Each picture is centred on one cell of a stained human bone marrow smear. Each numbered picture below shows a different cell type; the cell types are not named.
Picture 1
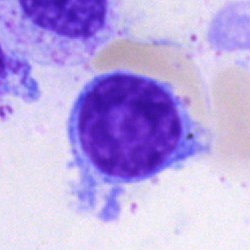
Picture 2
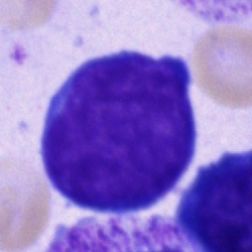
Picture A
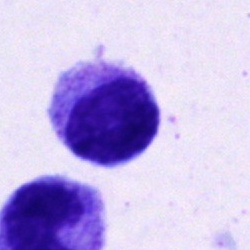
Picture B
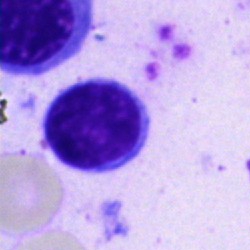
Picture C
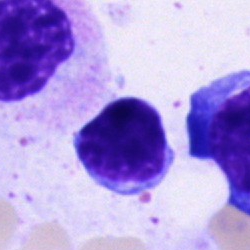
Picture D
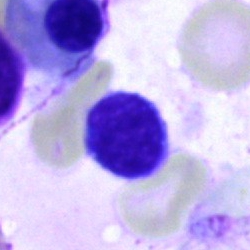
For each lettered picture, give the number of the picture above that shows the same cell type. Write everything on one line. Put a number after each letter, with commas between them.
A 1, B 1, C 1, D 1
